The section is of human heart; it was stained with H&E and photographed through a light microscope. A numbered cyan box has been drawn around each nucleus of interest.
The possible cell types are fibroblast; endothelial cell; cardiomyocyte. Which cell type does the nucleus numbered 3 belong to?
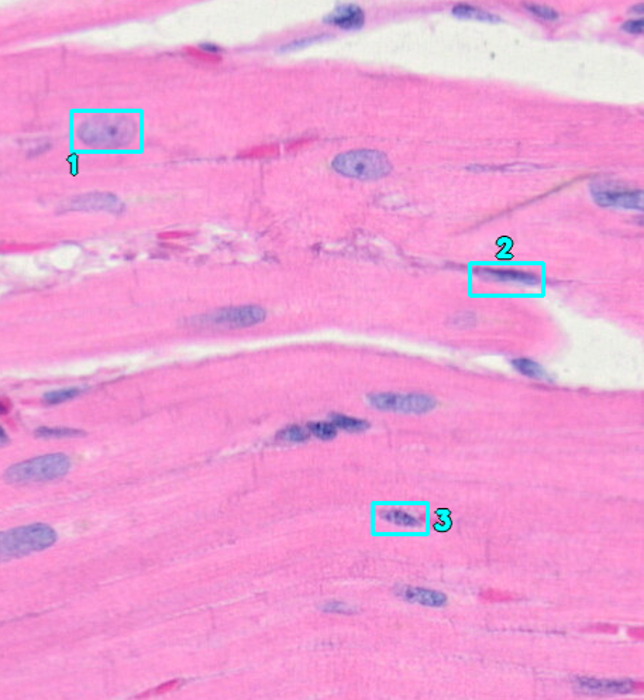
endothelial cell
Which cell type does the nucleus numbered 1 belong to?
cardiomyocyte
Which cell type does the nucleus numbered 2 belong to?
endothelial cell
